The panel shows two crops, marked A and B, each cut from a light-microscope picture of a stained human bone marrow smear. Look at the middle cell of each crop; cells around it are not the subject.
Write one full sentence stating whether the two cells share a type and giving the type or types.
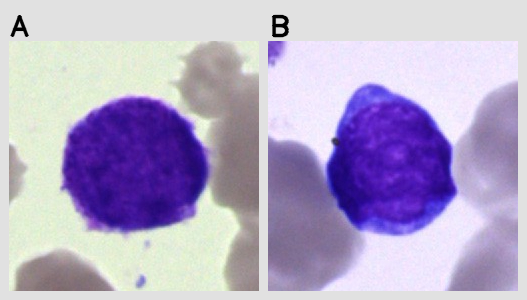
Yes, both crops show blasts, with no exception.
